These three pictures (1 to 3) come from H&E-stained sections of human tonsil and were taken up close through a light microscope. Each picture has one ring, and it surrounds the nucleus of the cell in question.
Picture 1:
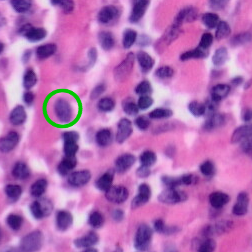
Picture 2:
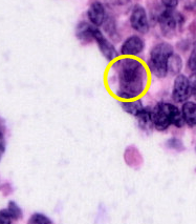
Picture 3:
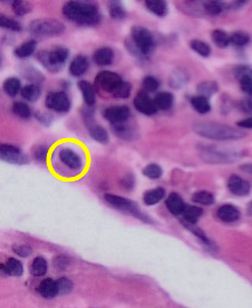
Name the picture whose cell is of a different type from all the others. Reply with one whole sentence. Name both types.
Unlike the rest, which show mast cells, picture 2 shows a proliferating B cell.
